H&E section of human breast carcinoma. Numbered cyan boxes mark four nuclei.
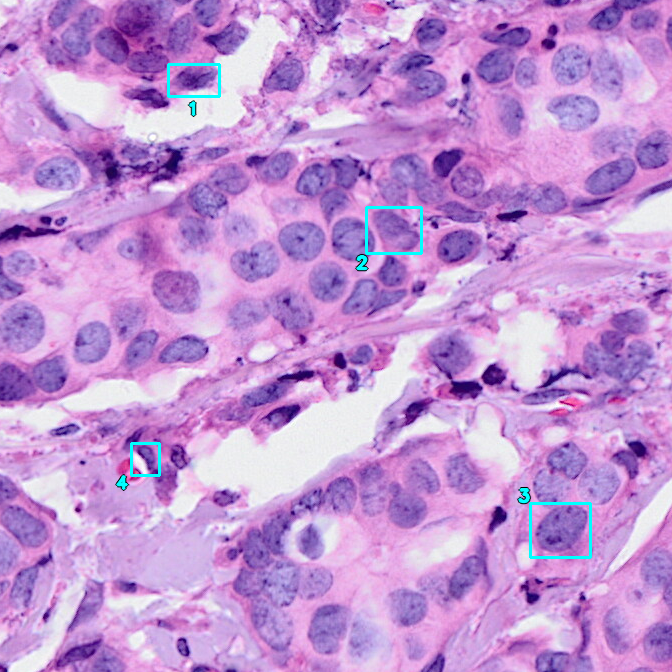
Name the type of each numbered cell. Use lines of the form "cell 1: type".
cell 1: carcinoma cell
cell 2: carcinoma cell
cell 3: carcinoma cell
cell 4: endothelial cell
